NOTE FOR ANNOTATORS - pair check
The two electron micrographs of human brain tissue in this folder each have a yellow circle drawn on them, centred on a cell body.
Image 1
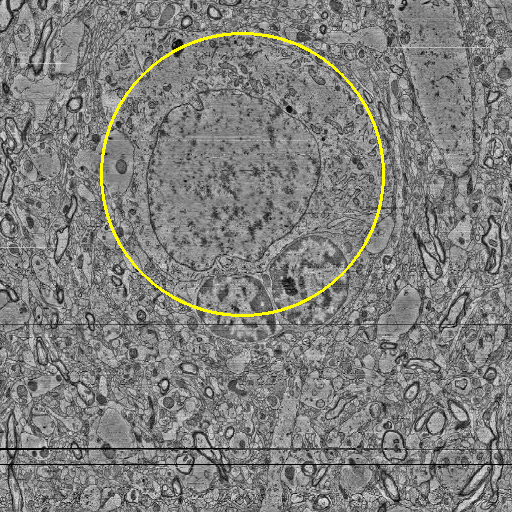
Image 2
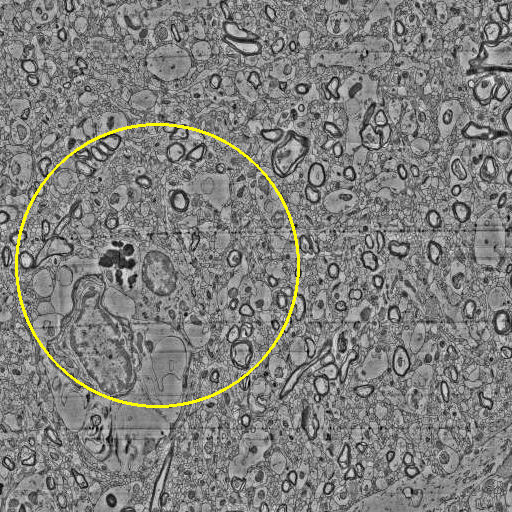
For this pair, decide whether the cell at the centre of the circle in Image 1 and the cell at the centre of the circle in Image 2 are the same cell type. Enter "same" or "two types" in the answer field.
two types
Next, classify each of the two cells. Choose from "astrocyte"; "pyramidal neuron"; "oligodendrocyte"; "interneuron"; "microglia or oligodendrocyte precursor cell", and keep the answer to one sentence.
In the first picture it is a pyramidal neuron; in the second it is an oligodendrocyte.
